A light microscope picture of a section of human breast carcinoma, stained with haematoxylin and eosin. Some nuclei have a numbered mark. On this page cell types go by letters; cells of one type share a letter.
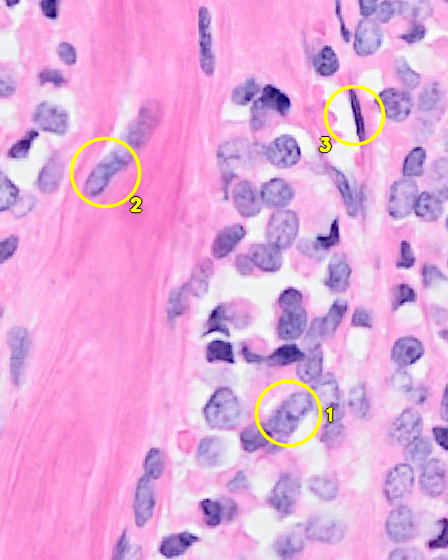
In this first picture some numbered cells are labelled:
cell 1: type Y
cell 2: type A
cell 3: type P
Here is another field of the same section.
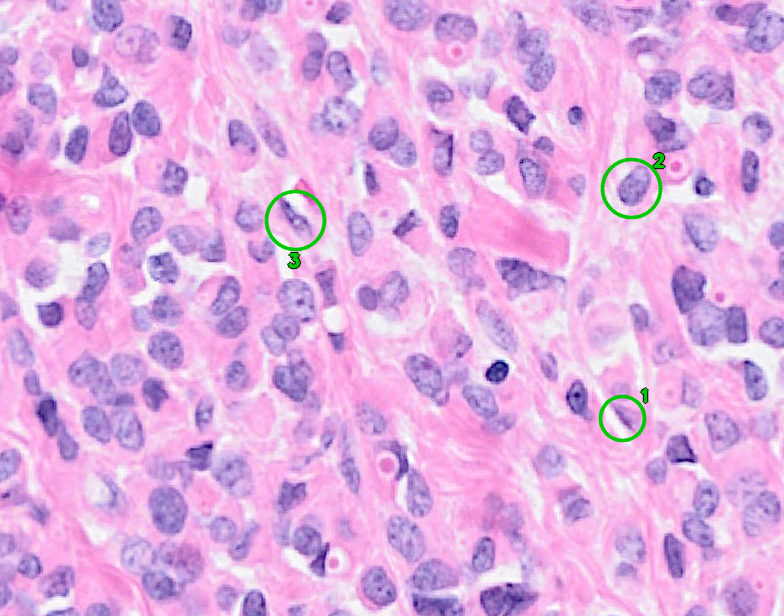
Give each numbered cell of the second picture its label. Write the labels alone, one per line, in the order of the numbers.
type A
type Y
type P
